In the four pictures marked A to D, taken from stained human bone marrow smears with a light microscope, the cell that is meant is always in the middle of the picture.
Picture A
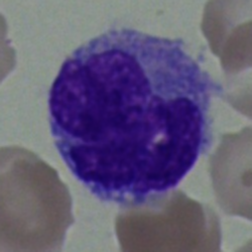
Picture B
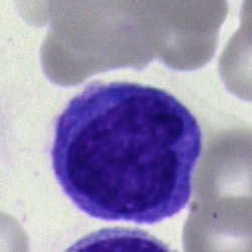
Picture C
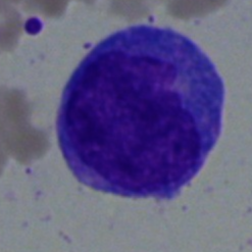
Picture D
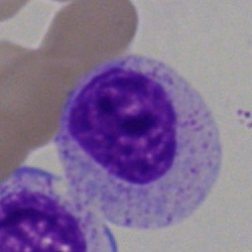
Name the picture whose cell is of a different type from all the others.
D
